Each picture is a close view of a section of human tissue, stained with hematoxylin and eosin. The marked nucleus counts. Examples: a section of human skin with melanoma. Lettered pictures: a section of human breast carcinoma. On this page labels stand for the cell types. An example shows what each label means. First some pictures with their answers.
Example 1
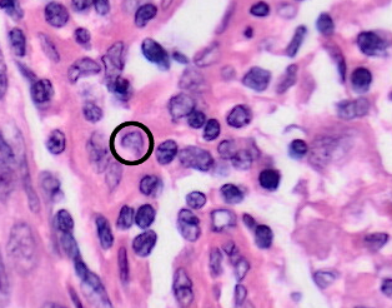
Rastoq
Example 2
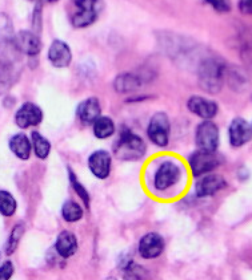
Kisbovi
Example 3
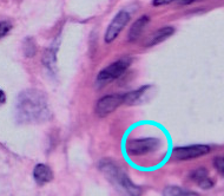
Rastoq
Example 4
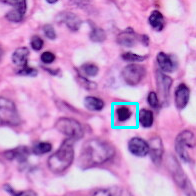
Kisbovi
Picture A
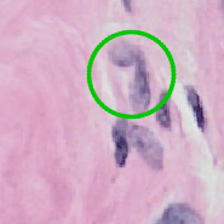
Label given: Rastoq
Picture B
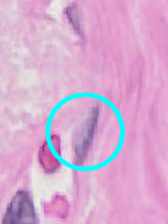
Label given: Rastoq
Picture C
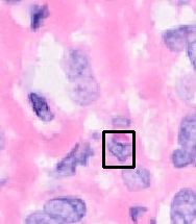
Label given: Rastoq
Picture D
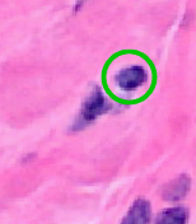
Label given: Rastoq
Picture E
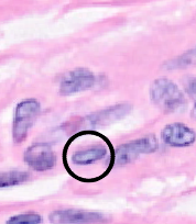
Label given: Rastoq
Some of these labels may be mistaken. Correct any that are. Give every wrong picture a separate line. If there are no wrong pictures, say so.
D: not Rastoq but Kisbovi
